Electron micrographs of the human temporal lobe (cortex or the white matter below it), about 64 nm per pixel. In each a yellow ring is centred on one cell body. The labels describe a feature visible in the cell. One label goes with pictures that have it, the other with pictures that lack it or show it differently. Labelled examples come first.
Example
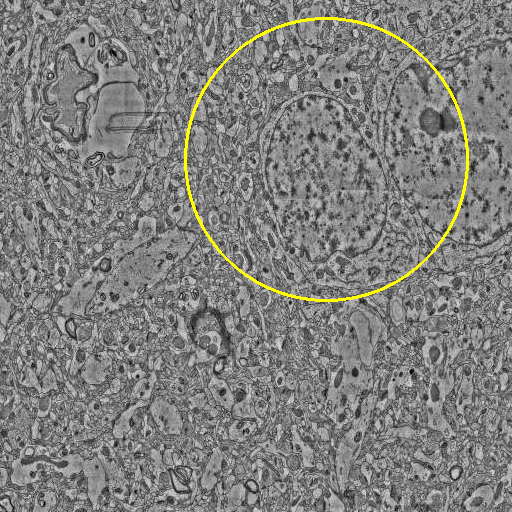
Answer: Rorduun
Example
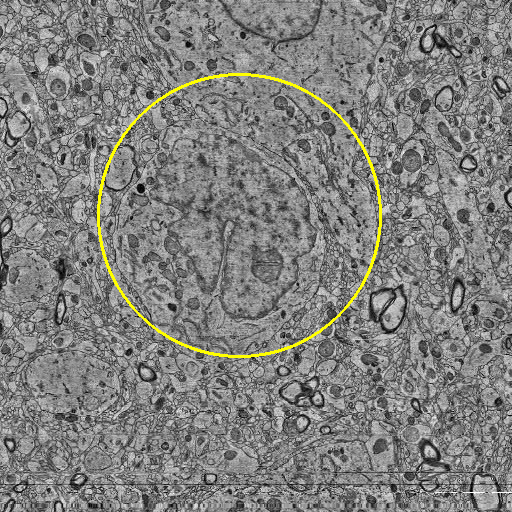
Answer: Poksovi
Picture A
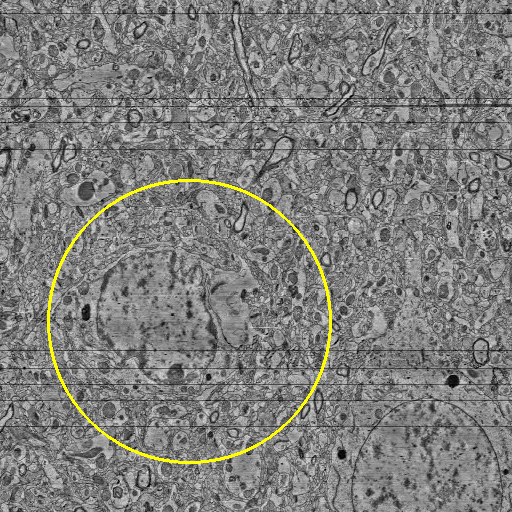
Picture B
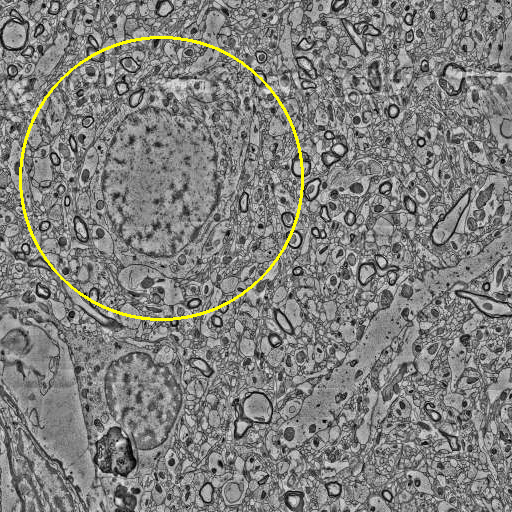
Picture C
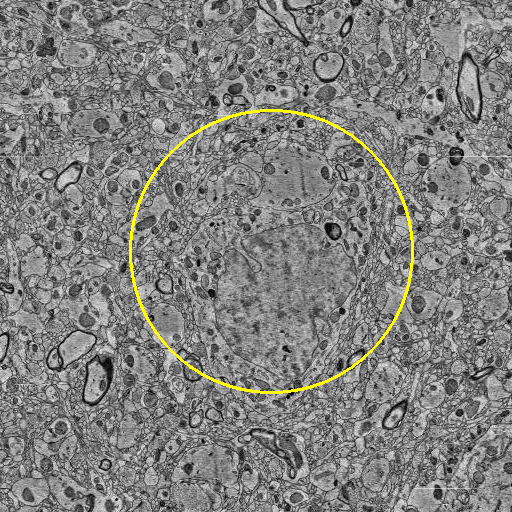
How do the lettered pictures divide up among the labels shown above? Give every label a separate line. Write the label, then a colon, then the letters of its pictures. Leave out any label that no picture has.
Rorduun: B
Poksovi: A, C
